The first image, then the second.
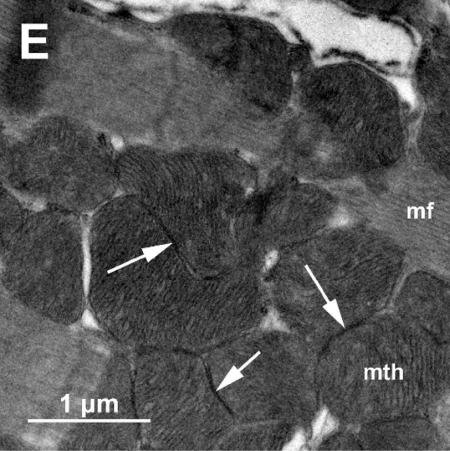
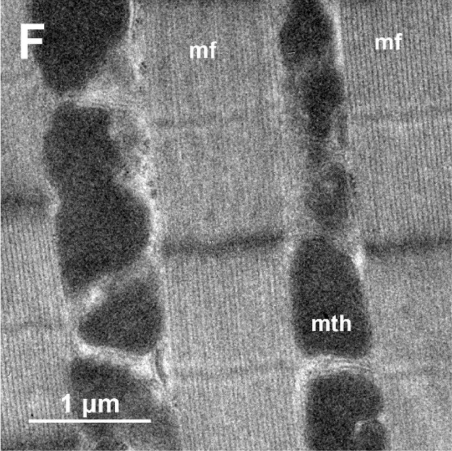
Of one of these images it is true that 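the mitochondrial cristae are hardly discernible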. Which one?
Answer: The second image.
